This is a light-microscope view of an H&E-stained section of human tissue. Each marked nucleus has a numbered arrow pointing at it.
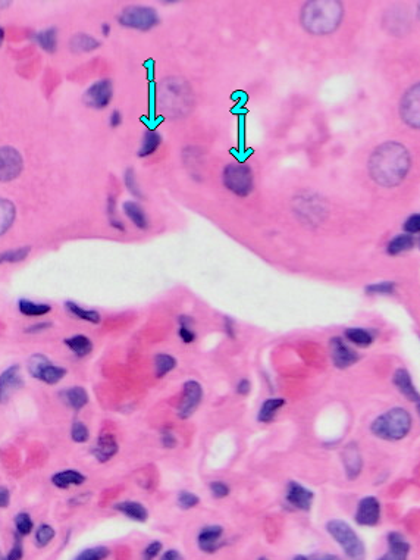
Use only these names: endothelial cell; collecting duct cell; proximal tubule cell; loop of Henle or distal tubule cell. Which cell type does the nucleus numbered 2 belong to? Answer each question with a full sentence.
Cell 2 in the field of view is a proximal tubule cell.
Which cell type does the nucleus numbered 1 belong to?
Marked with the number 1, this cell is an endothelial cell.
